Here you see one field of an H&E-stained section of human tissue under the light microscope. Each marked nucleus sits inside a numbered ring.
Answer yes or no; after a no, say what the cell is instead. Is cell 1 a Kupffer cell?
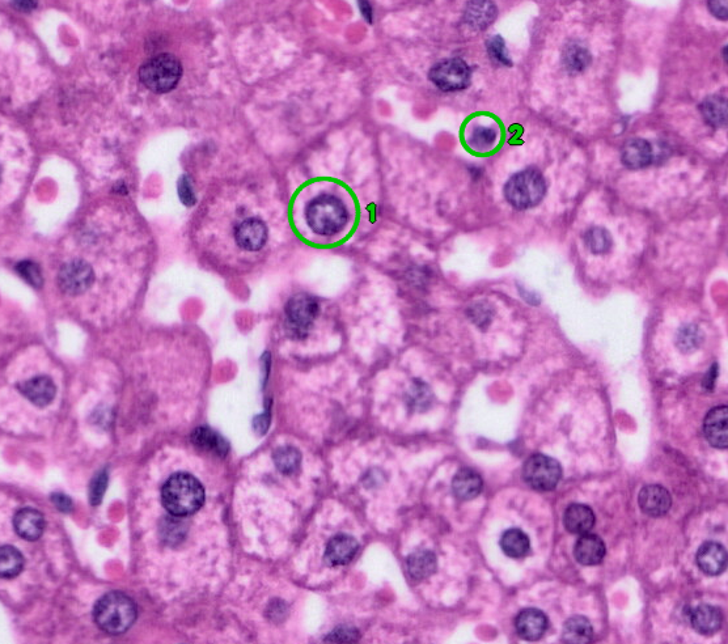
No, it is a hepatocyte.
